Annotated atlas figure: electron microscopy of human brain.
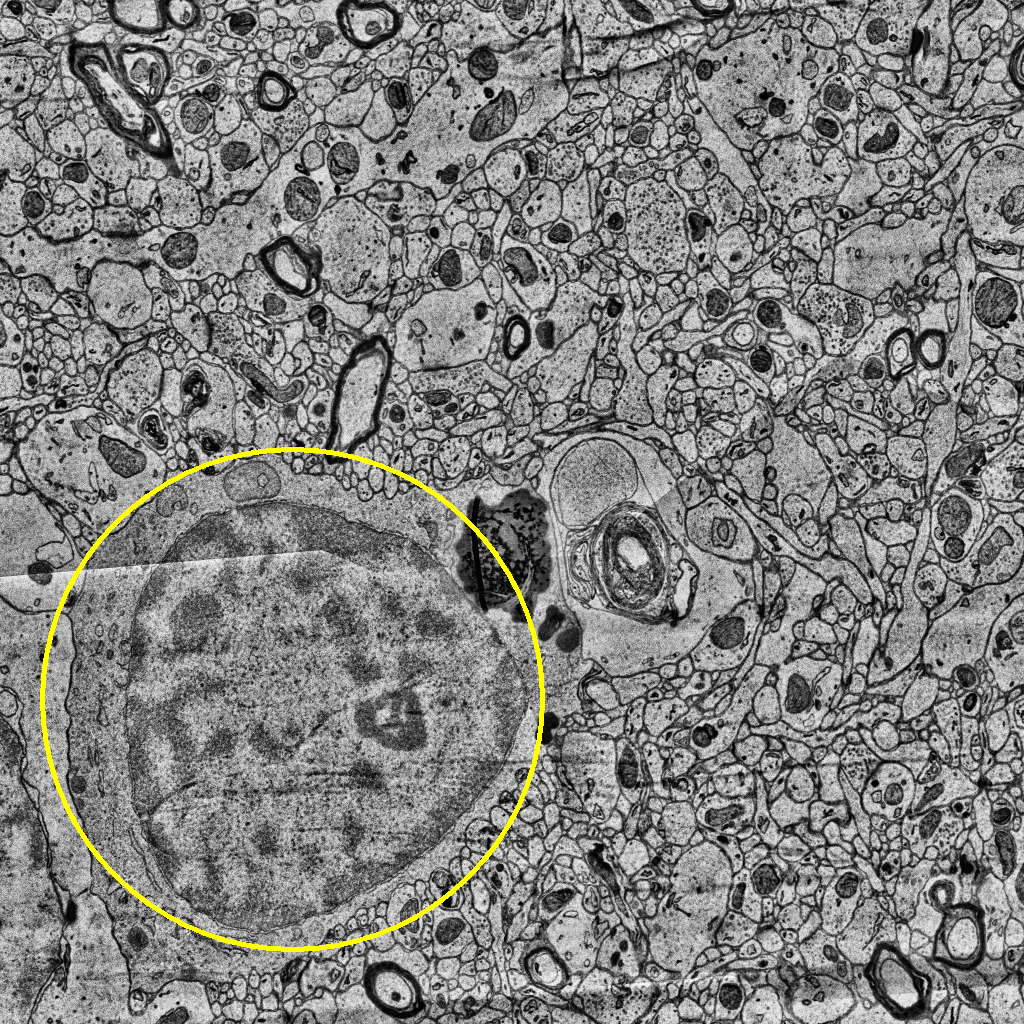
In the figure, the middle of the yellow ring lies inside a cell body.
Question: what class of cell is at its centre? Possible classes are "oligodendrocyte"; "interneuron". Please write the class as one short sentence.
The yellow ring's centre lies in an oligodendrocyte.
